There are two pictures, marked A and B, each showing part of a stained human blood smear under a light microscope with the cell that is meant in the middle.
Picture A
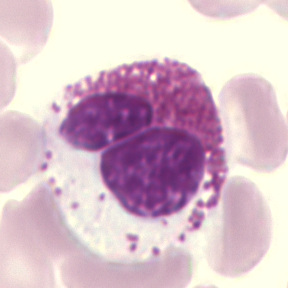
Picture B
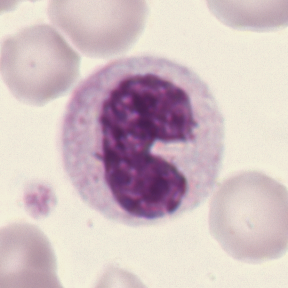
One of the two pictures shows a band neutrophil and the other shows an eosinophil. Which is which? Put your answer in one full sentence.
Picture B shows a band neutrophil, while picture A shows an eosinophil.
